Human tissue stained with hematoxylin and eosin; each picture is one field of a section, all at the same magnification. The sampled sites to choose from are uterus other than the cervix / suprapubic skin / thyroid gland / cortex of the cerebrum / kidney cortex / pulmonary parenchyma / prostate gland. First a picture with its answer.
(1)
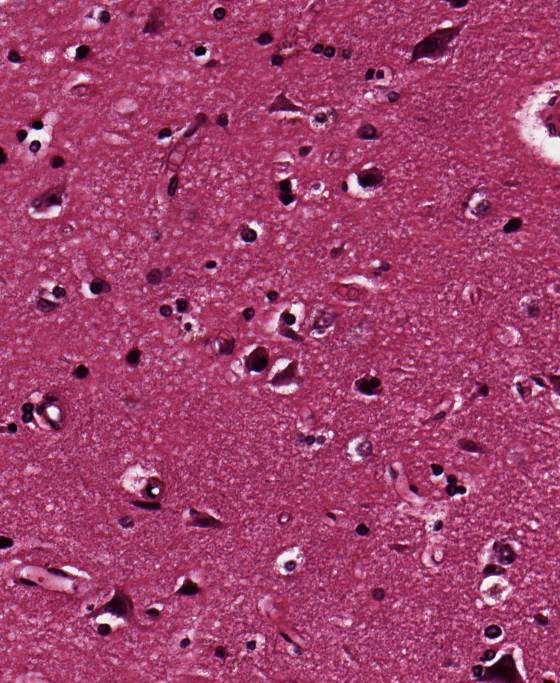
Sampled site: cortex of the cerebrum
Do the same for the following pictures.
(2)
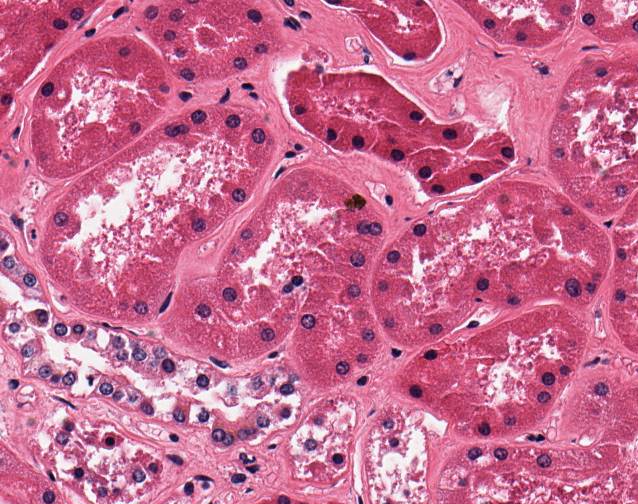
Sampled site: kidney cortex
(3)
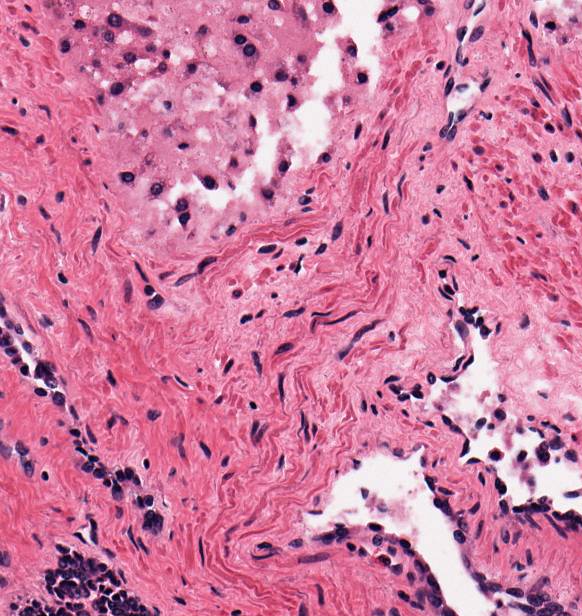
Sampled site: prostate gland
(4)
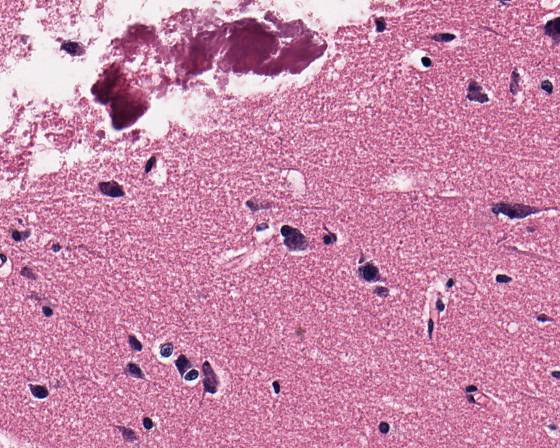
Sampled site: cortex of the cerebrum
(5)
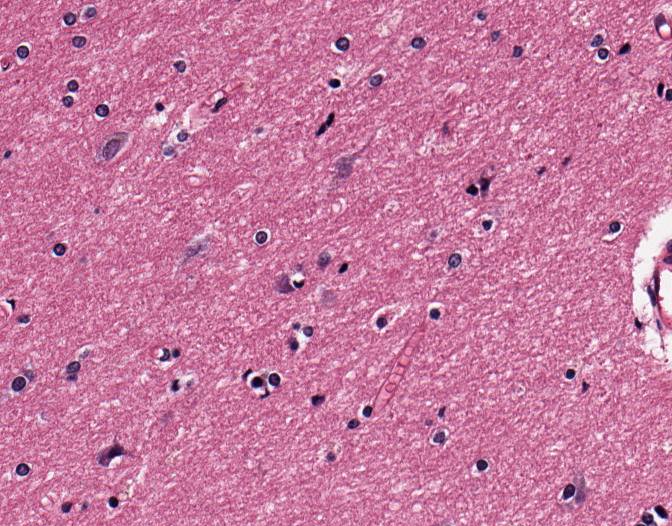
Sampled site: cortex of the cerebrum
